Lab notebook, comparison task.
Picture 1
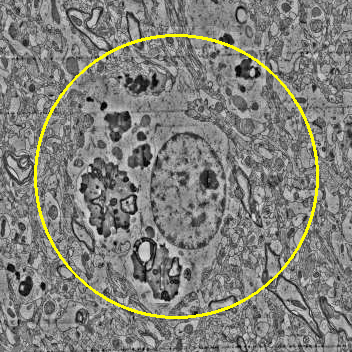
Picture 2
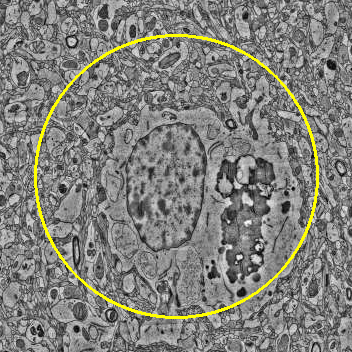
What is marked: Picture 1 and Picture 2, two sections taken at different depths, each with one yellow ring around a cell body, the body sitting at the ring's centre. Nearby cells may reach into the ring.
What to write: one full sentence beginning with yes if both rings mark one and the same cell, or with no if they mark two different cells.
No, the two marked cells are different cells.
